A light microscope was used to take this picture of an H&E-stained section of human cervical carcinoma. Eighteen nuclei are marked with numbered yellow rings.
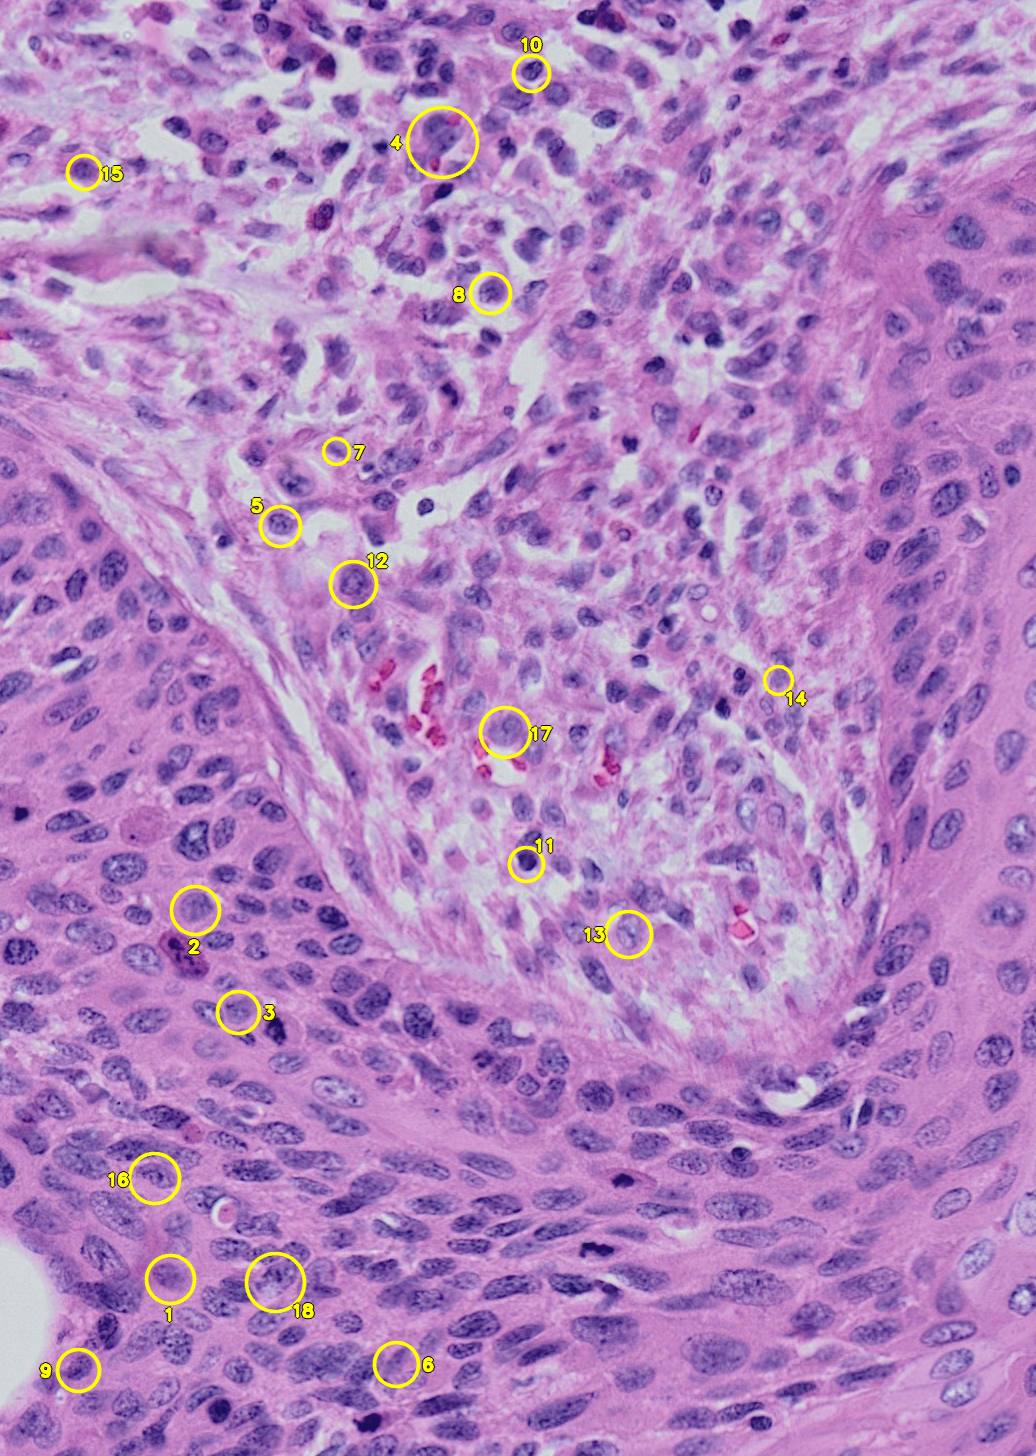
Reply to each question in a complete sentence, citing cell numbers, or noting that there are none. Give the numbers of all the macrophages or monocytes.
In this section, the cells numbered 5, 8, 12 and 15 are macrophages or monocytes.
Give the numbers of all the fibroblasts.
The cells with numbers 7 and 14 are fibroblasts by type.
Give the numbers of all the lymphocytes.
The cells that have numbers 10 and 11 are lymphocytes.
